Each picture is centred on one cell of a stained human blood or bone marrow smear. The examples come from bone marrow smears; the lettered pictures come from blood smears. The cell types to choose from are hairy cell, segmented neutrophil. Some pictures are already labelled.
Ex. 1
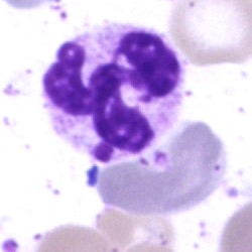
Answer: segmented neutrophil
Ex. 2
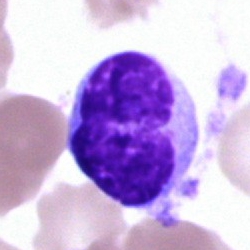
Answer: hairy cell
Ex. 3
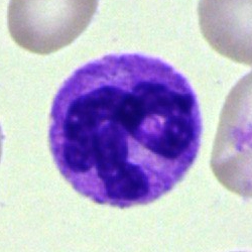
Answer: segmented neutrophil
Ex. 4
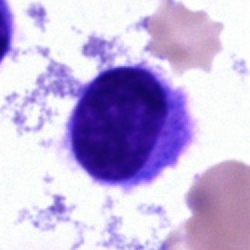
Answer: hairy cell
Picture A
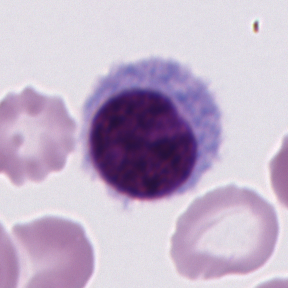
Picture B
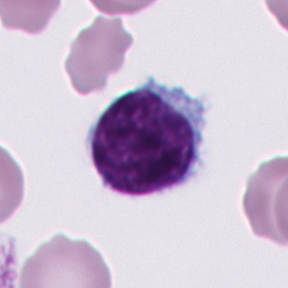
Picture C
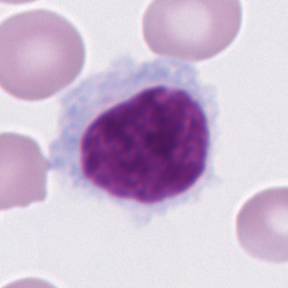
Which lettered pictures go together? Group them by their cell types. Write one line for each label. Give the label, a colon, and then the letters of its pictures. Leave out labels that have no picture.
hairy cell: A, B, C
